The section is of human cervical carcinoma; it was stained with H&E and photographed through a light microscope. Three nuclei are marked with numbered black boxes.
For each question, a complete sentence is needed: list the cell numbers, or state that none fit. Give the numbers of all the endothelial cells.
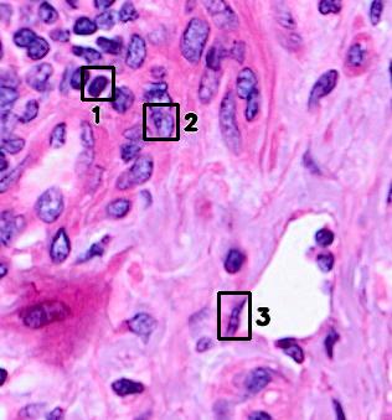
The cells picked out by numbers 2 and 3 are endothelial cells.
